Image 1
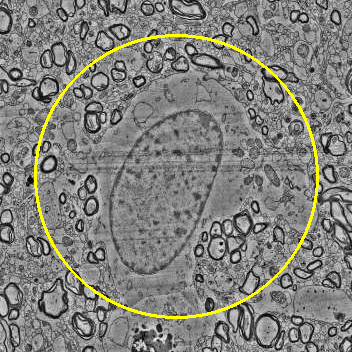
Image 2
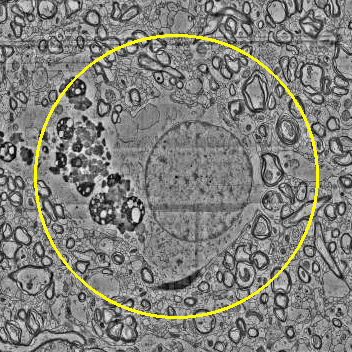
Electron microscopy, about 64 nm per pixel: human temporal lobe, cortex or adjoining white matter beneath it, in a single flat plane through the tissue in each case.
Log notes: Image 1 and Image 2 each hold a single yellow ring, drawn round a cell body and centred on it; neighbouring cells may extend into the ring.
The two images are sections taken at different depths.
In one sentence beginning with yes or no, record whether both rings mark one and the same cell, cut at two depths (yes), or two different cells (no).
No, each yellow ring marks its own cell.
